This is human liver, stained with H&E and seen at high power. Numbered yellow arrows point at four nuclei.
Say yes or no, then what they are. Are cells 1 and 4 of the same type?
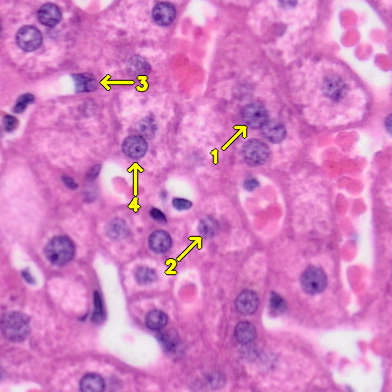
Yes, in the case of cells 1 and 4, both are hepatocytes.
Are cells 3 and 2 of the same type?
No, cell 3 is an endothelial cell; cell 2 is a hepatocyte.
